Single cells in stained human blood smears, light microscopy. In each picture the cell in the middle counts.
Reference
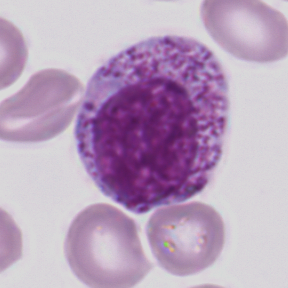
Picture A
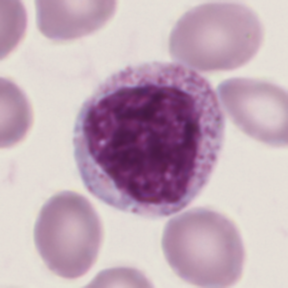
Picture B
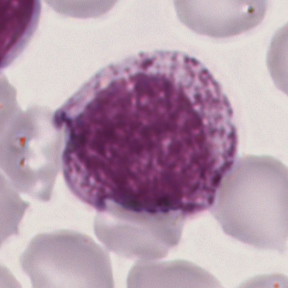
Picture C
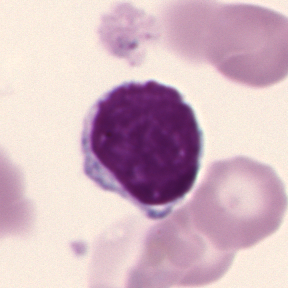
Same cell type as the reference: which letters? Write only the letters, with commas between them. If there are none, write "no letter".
A, B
